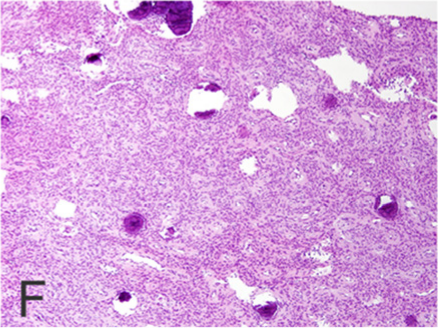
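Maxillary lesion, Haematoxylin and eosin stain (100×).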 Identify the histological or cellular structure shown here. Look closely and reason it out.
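Several round to irregular bodies stain dark purple. Some of the purple bodies sit within clear spaces in the tissue. That points to this answer: calcified structures.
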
